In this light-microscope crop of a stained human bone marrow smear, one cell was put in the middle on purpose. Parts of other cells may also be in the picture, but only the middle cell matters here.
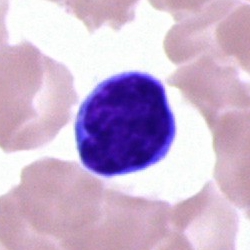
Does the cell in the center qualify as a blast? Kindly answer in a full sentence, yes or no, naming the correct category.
No, the centred cell is a lymphocyte instead of a blast.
